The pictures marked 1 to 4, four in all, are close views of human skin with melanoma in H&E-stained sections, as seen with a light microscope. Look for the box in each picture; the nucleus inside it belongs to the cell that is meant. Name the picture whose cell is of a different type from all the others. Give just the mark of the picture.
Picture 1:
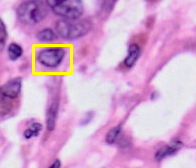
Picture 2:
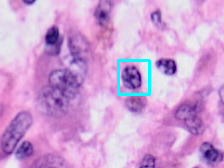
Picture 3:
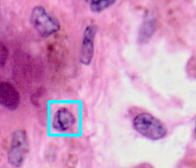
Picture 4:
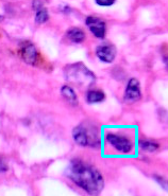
1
